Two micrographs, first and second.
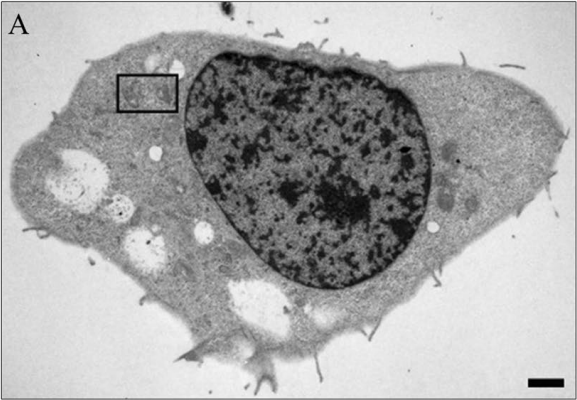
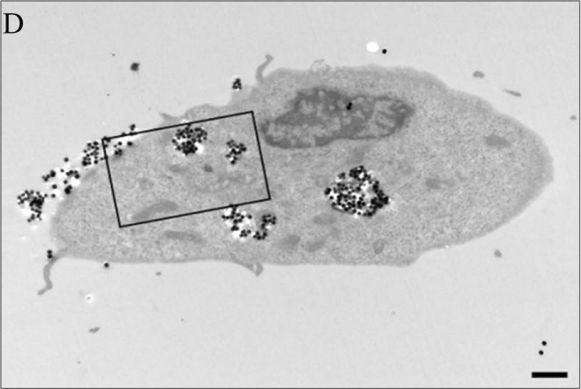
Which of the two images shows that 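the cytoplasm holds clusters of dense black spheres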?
The second image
